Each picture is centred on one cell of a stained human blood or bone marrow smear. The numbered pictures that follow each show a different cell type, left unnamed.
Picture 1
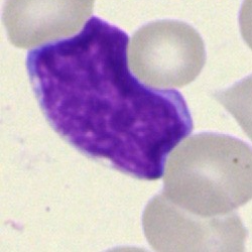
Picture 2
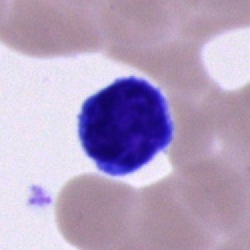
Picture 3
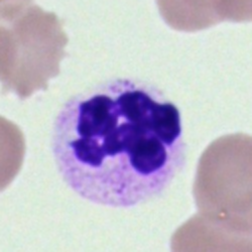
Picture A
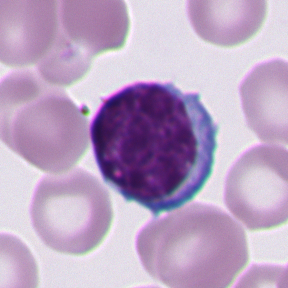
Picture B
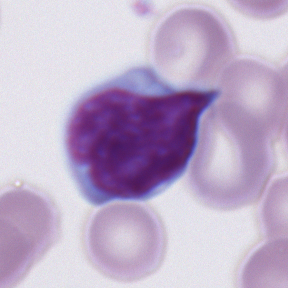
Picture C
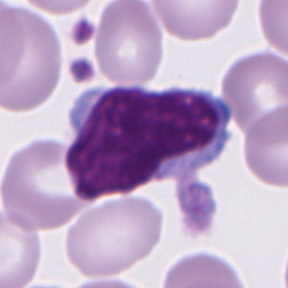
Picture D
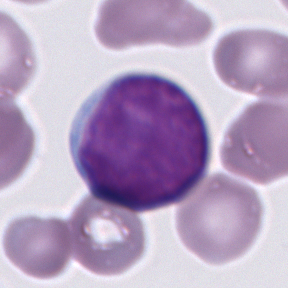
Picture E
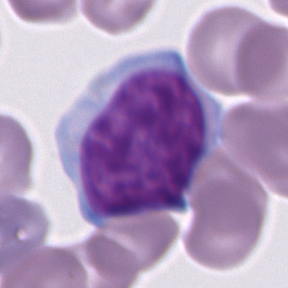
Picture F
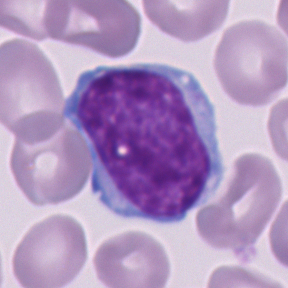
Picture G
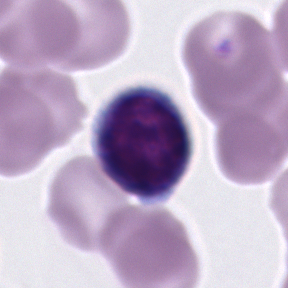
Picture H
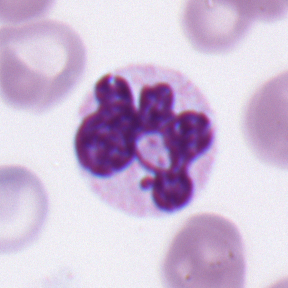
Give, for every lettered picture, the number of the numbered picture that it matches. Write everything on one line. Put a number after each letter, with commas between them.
A 2, B 2, C 2, D 1, E 1, F 1, G 2, H 3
